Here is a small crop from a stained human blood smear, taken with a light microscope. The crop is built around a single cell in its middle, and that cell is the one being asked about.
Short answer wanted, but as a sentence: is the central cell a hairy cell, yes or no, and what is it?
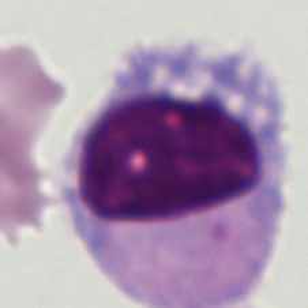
Yes, the cell at the center of the crop is a hairy cell.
